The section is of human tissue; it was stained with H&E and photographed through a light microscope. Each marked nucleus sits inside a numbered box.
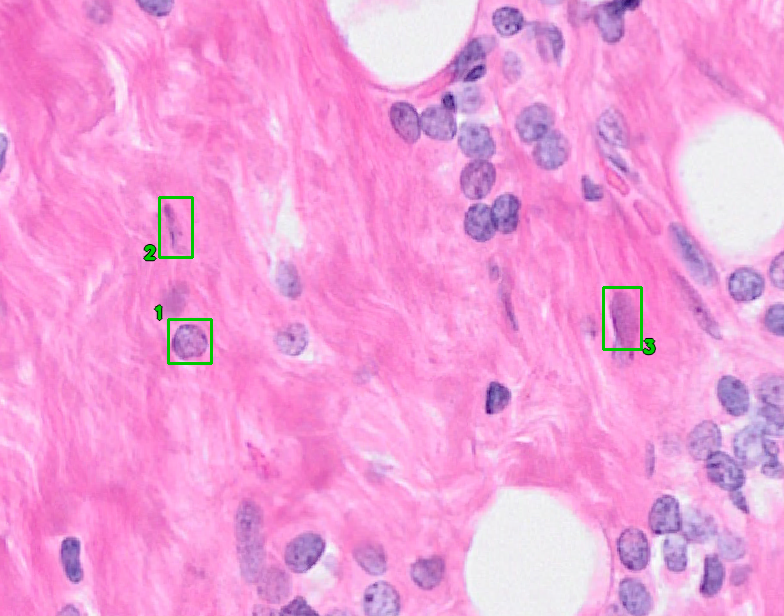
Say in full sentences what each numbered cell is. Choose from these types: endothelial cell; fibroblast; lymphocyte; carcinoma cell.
Cell 1 is a carcinoma cell. Cells 2 and 3 are fibroblasts.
